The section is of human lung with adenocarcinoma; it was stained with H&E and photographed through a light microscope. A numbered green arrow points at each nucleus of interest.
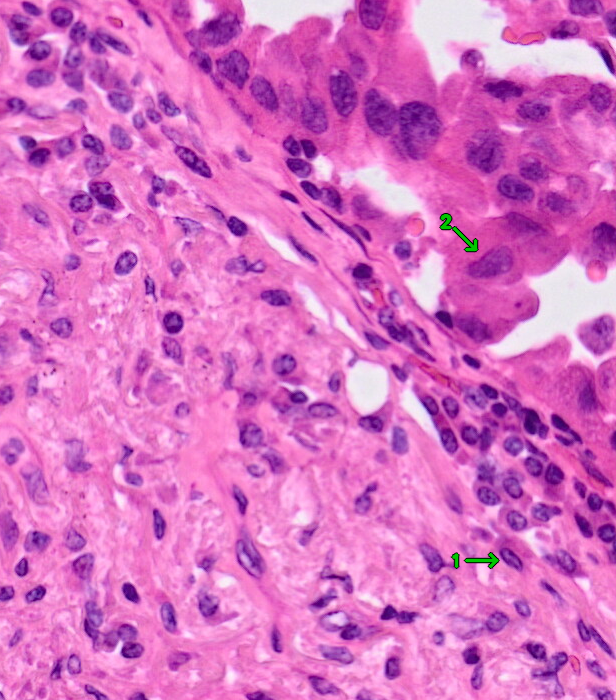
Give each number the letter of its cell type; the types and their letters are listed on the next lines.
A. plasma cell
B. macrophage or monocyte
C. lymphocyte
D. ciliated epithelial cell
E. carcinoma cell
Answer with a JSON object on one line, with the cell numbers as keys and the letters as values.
{"1": "A", "2": "E"}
